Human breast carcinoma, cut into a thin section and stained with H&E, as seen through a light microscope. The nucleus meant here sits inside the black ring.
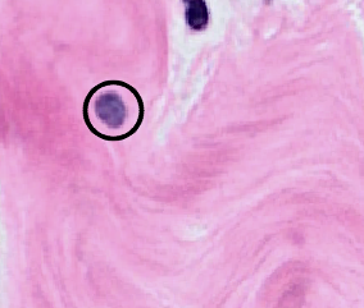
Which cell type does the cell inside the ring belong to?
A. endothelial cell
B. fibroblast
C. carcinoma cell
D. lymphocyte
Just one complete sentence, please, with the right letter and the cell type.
The right option is D, the cell inside the ring being a lymphocyte.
